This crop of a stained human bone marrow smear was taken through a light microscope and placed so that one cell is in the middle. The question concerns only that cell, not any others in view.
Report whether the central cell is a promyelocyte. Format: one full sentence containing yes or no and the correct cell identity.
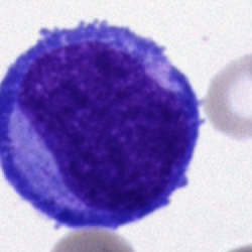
No, the cell in the centre is to be called a blast instead of a promyelocyte.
